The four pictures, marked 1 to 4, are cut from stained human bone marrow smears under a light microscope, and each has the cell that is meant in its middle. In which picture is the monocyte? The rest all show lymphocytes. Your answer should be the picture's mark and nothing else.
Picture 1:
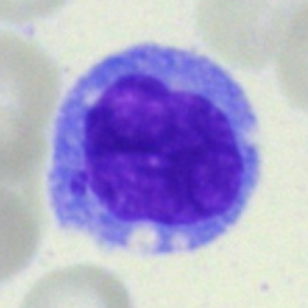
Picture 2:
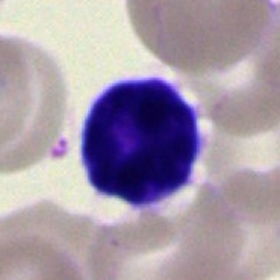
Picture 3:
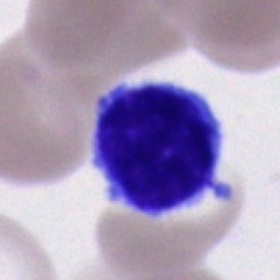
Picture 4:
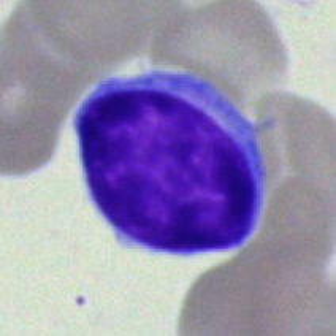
1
